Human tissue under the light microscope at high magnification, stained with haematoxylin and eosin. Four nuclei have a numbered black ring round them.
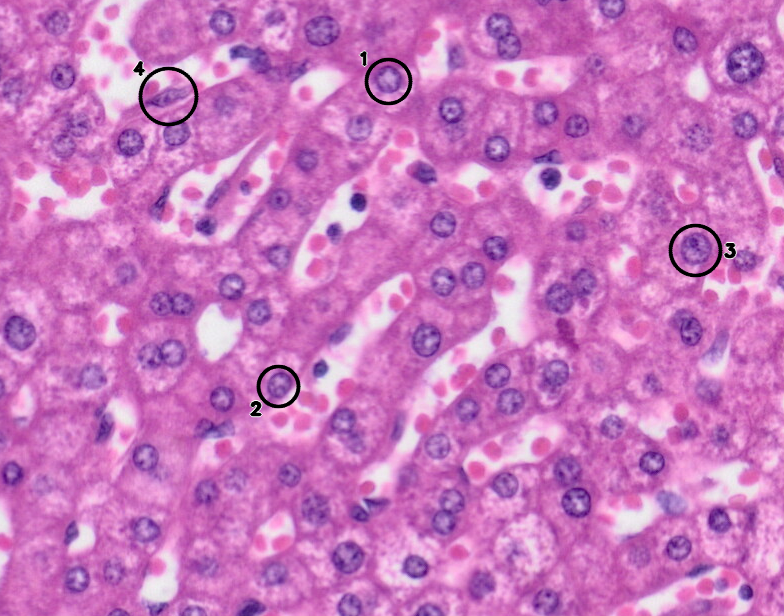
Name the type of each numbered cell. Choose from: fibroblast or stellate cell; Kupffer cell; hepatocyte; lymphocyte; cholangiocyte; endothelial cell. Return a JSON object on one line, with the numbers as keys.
{"1": "hepatocyte", "2": "hepatocyte", "3": "hepatocyte", "4": "Kupffer cell"}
